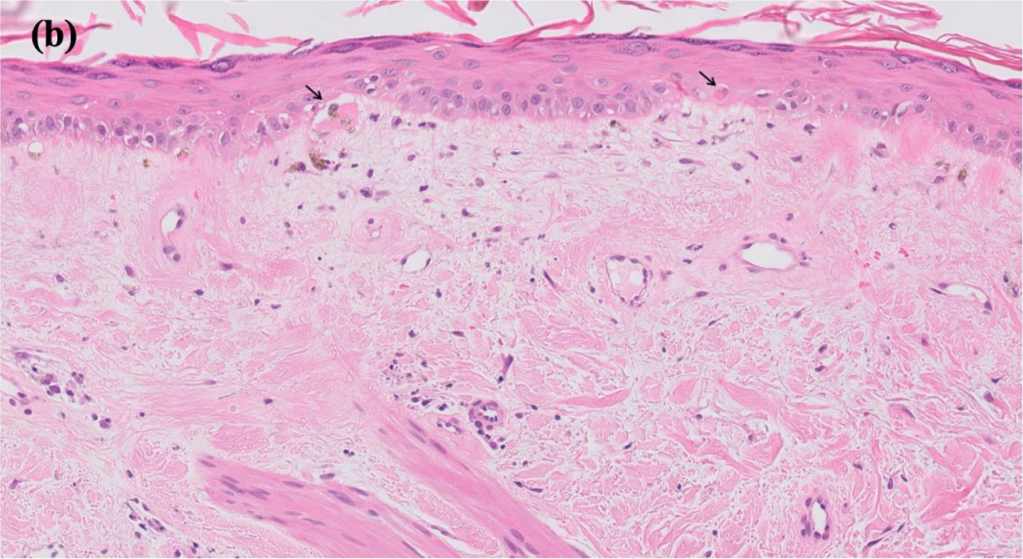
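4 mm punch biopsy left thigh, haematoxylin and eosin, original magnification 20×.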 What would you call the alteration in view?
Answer: Melanin pigment incontinence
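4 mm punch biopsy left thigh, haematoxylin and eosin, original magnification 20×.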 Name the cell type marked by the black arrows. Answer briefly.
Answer: Necrotic keratinocytes.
